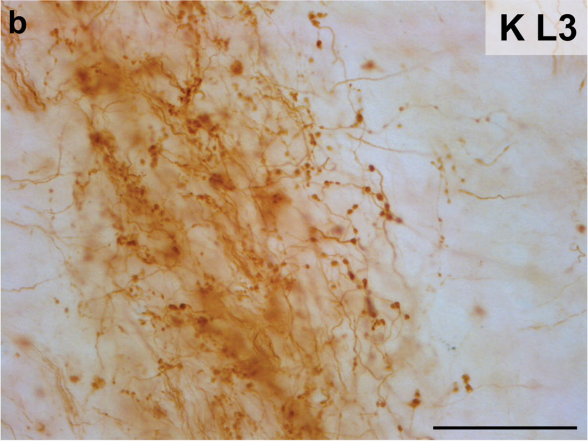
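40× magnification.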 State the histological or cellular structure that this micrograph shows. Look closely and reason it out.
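Axon bouton terminals. The fibres bear round dark-brown swellings along and at their ends. The swellings cluster densely in one band of the field.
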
